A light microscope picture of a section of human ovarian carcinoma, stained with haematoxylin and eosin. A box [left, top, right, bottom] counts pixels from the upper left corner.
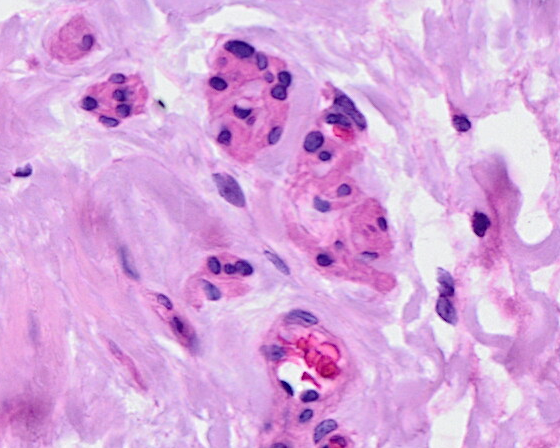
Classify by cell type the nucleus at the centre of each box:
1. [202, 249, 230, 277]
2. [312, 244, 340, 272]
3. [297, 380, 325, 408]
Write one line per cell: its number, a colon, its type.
1: smooth muscle cell
2: smooth muscle cell
3: endothelial cell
